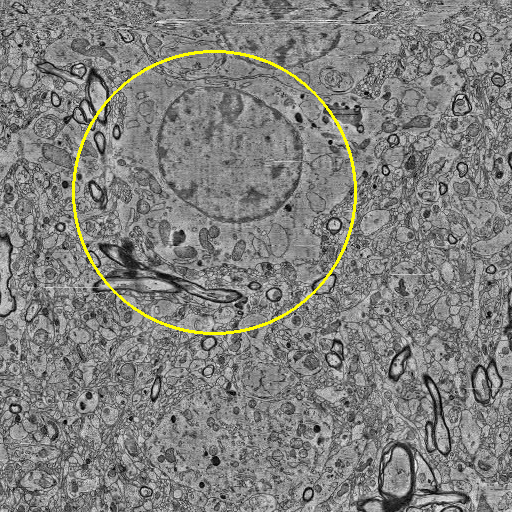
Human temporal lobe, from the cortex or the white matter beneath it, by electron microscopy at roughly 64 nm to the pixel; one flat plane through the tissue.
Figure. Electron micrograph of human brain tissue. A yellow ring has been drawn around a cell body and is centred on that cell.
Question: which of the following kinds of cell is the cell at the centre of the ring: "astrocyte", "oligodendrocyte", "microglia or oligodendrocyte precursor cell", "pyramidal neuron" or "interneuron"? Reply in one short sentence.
The cell at the centre of the ring is an astrocyte.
